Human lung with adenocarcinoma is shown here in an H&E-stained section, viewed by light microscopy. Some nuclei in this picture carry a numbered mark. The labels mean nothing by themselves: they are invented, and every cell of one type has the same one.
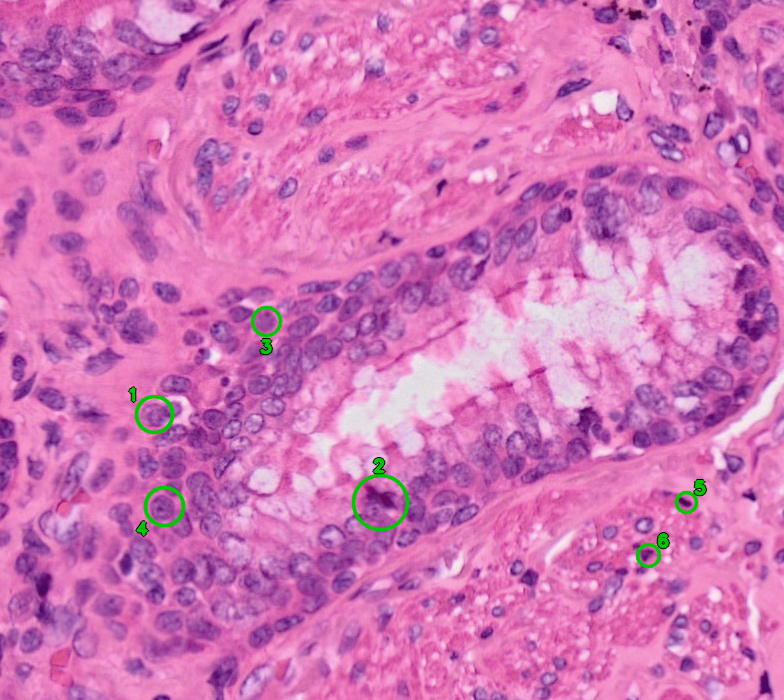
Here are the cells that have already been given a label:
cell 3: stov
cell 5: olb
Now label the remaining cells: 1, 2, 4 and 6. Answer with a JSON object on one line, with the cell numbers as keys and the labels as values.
{"1": "stov", "2": "stov", "4": "stov", "6": "olb"}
